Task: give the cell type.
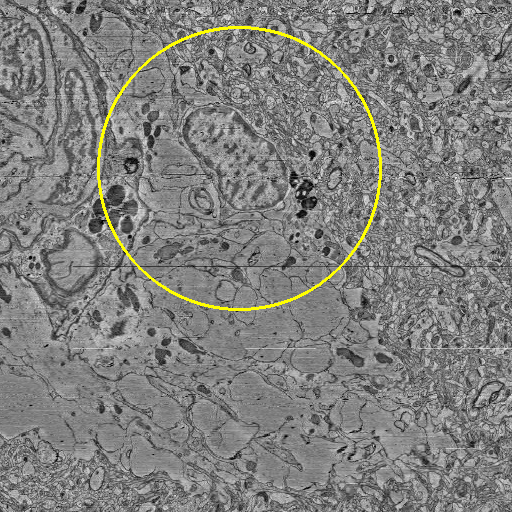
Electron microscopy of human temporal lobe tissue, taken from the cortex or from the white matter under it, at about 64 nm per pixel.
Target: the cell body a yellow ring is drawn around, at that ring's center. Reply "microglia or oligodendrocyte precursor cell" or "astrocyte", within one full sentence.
In this picture, the cell whose body lies at the ring's center is a microglial cell or oligodendrocyte precursor cell.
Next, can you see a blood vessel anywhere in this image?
Yes, there is a blood vessel.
